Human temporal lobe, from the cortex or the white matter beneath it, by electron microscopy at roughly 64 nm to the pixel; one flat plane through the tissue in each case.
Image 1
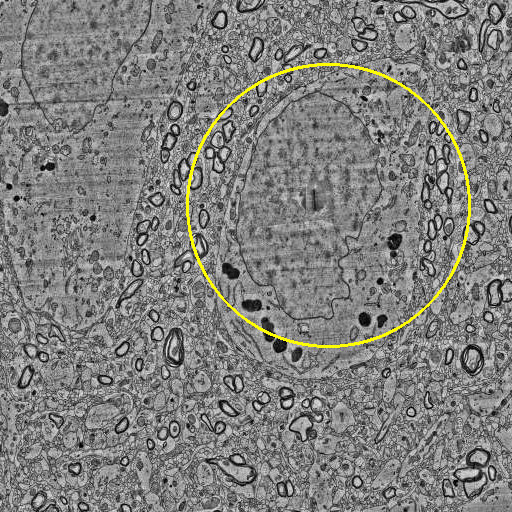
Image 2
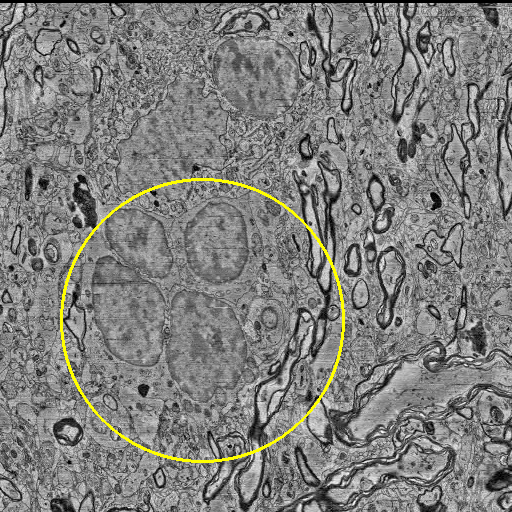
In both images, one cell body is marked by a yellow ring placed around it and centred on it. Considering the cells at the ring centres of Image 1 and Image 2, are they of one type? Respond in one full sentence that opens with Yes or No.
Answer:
No, two types apply to the ring-centred cells of Image 1 and Image 2.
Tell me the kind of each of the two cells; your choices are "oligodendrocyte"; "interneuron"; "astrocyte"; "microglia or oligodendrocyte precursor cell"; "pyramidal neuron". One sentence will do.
The ringed cell is a pyramidal neuron in the first picture and an oligodendrocyte in the second picture.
